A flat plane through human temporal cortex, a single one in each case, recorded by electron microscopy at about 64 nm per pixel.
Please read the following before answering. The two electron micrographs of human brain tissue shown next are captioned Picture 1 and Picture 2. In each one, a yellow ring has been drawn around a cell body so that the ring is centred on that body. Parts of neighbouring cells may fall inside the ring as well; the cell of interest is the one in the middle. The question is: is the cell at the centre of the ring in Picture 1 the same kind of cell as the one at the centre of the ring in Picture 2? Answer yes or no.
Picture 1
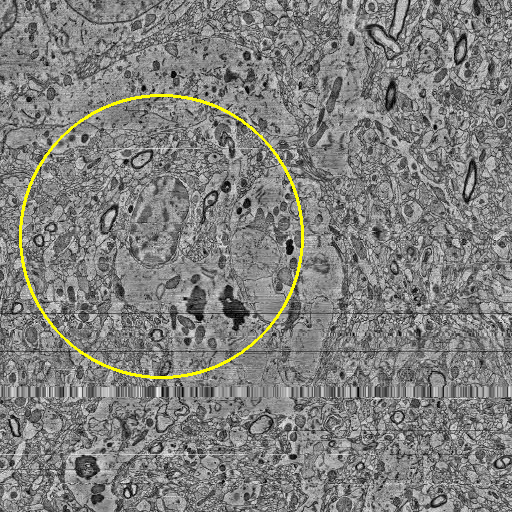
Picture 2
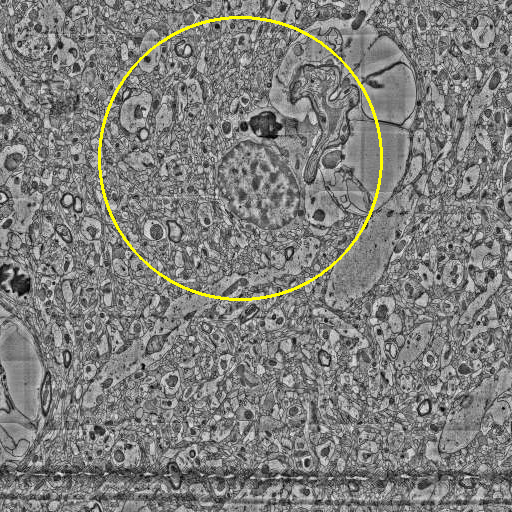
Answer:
no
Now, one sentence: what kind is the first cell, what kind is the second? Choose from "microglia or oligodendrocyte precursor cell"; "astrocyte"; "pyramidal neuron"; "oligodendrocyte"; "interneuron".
The first picture has a microglial cell or oligodendrocyte precursor cell at its ring centre, and the second has an oligodendrocyte.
